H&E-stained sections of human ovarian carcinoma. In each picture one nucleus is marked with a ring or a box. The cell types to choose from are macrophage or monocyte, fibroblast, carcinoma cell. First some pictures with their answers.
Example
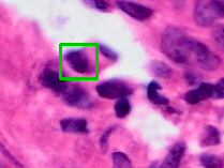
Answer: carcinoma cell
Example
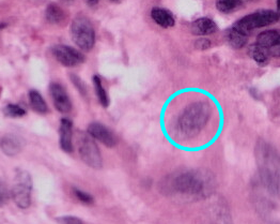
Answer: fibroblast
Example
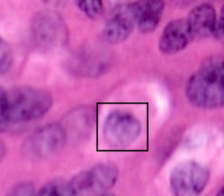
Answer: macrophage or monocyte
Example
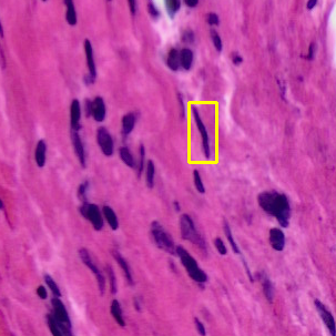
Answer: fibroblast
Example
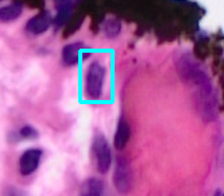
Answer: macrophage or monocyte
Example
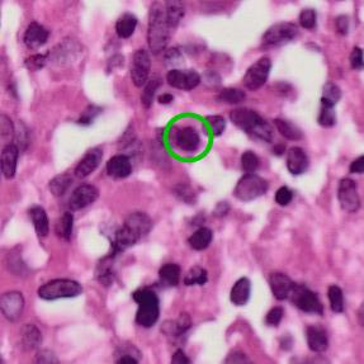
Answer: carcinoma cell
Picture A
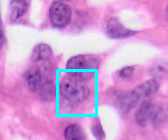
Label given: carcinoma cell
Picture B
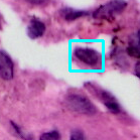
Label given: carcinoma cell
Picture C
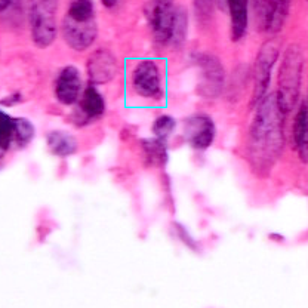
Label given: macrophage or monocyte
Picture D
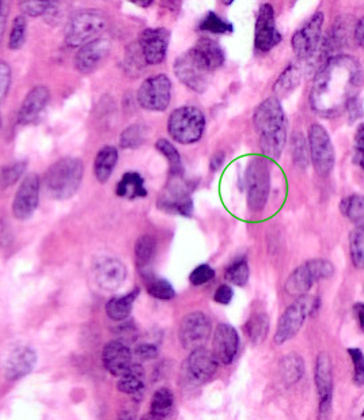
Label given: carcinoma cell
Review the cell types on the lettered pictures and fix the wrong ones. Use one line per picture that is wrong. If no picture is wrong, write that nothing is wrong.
Every label is right.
